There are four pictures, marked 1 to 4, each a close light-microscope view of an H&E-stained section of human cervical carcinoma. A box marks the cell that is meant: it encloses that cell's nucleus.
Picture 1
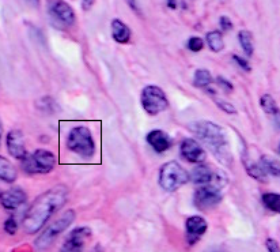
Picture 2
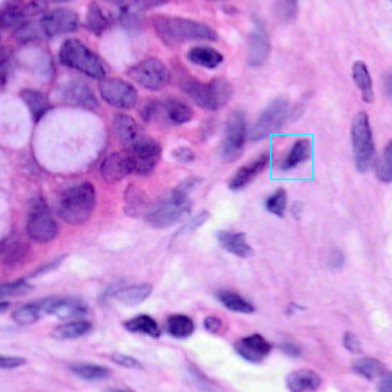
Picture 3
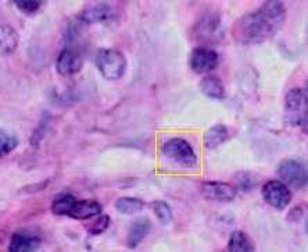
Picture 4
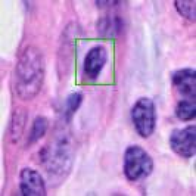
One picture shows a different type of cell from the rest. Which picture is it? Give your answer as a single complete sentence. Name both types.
The different one is picture 2; it shows a fibroblast, whereas all the others show lymphocytes.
